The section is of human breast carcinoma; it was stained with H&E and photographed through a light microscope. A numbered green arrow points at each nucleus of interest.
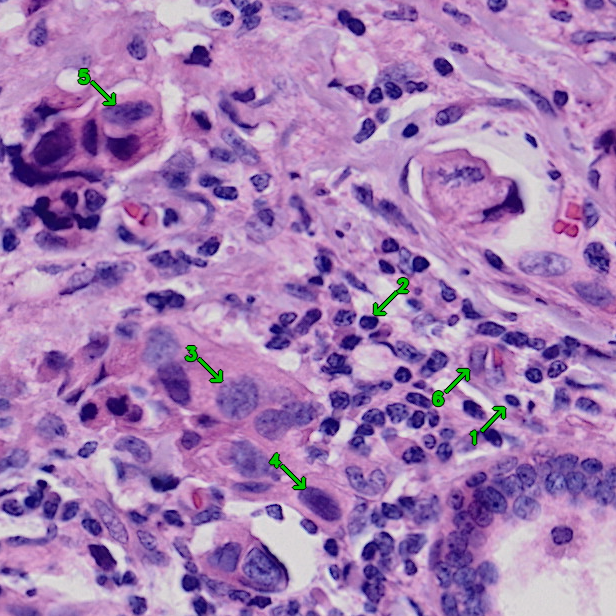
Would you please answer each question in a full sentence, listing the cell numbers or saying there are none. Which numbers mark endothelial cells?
None but cell 6 among the numbered cells is an endothelial cell.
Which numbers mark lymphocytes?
The cells labelled 1 and 2 in this section are lymphocytes.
